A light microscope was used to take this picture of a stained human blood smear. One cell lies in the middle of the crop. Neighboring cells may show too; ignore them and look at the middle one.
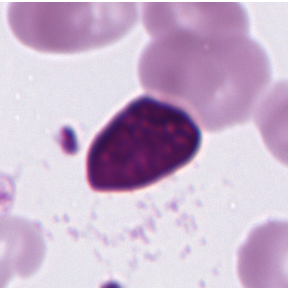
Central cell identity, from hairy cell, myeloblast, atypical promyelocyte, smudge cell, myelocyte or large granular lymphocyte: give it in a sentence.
The crop centres on a single cell, and that cell is a smudge cell.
